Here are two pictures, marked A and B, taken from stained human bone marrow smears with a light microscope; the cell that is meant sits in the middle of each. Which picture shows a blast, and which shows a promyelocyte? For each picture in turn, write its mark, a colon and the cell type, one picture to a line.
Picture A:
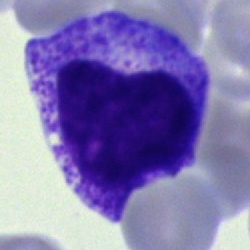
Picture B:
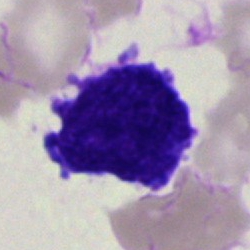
A: promyelocyte
B: blast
